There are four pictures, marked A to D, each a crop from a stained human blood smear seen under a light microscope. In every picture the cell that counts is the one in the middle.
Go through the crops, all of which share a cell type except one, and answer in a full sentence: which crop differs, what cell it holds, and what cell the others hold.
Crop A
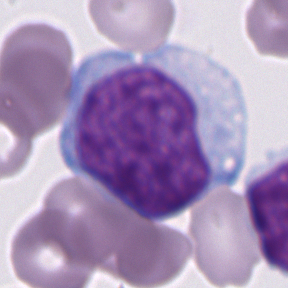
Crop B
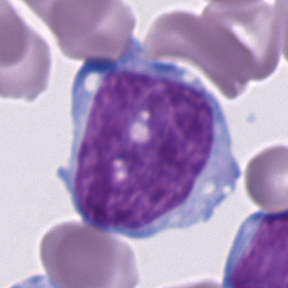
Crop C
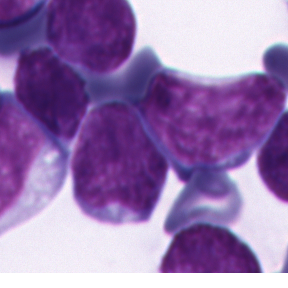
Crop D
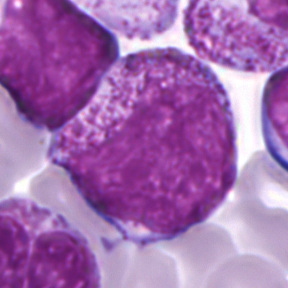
Crop D does not match the others; it shows a promyelocyte, and they show myeloblasts.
